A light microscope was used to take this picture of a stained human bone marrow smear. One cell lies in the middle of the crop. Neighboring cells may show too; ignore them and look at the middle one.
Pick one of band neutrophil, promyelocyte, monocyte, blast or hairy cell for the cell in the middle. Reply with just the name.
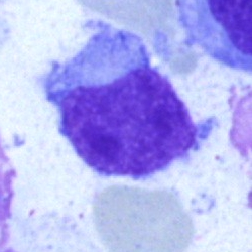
hairy cell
